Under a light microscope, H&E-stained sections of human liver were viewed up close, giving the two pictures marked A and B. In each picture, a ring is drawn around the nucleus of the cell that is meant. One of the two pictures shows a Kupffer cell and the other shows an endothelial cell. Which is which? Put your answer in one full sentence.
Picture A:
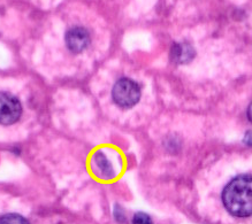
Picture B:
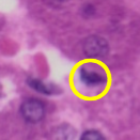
Picture A shows a Kupffer cell and picture B shows an endothelial cell.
